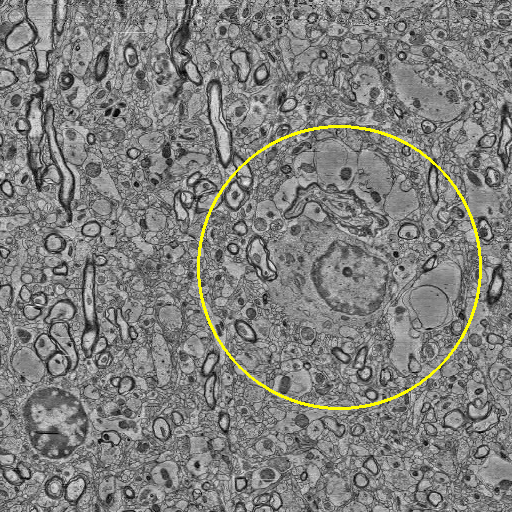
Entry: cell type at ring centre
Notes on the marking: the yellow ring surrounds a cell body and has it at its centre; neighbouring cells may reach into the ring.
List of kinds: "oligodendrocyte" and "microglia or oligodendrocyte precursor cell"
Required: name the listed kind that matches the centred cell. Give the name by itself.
oligodendrocyte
